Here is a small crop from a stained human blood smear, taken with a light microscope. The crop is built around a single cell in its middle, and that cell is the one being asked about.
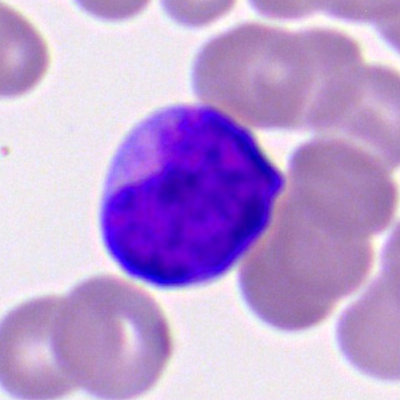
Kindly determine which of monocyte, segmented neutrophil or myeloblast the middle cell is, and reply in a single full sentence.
Framed in the middle of the crop is a myeloblast.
